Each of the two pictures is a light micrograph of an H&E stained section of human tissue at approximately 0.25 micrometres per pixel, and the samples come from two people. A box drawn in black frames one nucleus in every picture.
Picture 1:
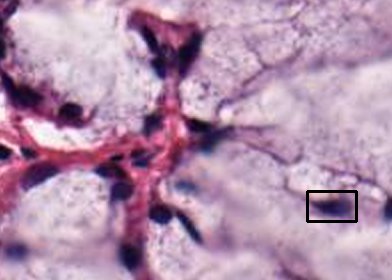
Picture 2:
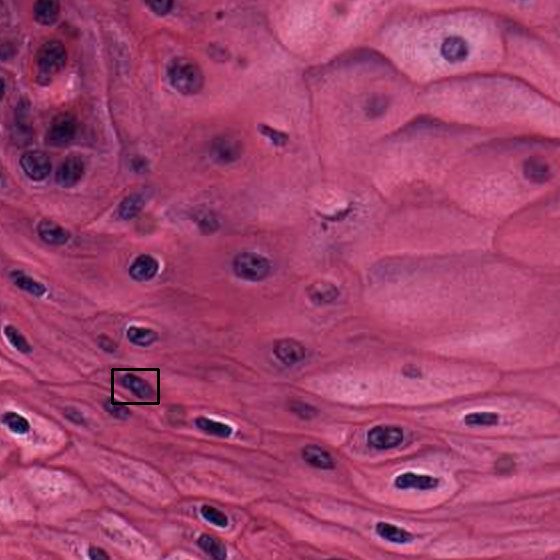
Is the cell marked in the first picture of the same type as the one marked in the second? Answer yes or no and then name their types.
No, the first is a mucous gland cell and the second a squamous epithelial cell.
